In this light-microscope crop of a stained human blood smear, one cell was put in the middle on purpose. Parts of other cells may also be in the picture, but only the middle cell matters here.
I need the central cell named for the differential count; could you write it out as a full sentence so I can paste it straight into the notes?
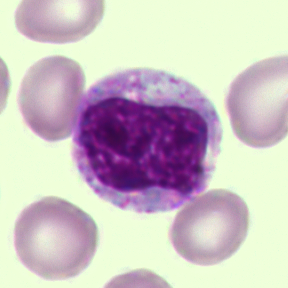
The middle cell in this particular crop is a metamyelocyte.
